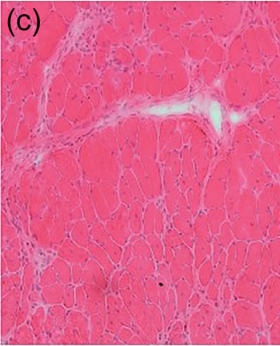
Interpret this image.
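Here skeletal muscle is seen in cross-section as many pink polygonal fibres that vary markedly in size. The fibres are separated by thin pale seams with scattered small purple nuclei, and in places these seams widen into paler strands holding more cells.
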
